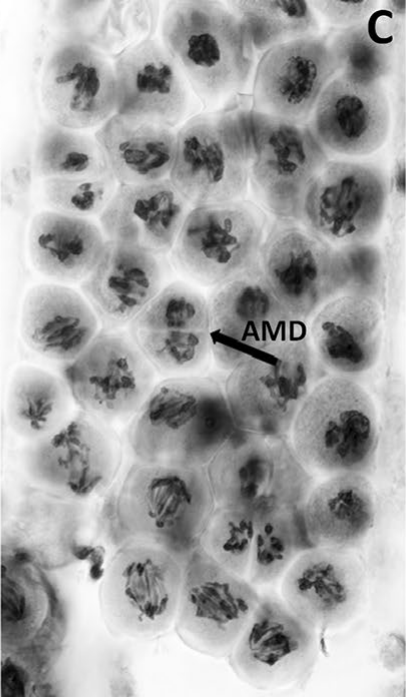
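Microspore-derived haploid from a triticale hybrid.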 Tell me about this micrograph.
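A column of rounded, closely apposed cells fills the field, each with grey cytoplasm and a central cluster of dark, condensed, thread- and rod-like chromosomes. In one cell a faint line crosses the cell through the chromosome mass. These are meiocytes in stages resembling prophase and anaphase of the first meiotic division, some attempting division in an unusual plane.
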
